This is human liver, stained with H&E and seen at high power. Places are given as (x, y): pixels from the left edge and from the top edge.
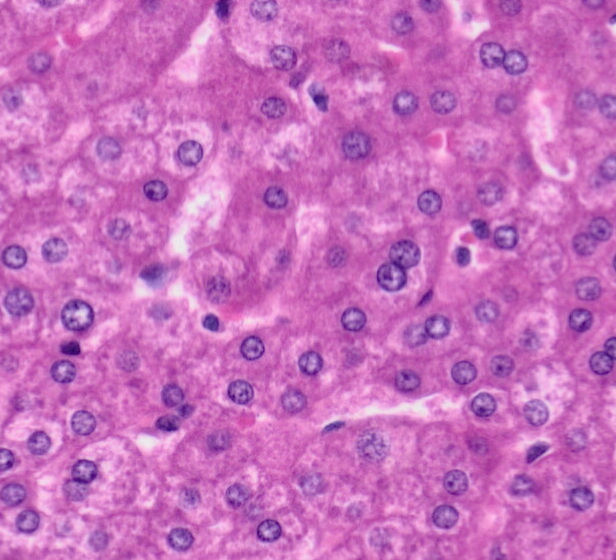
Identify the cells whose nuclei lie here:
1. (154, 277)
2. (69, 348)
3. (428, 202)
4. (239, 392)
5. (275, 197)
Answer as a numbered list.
1. endothelial cell
2. fibroblast or stellate cell
3. hepatocyte
4. hepatocyte
5. hepatocyte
